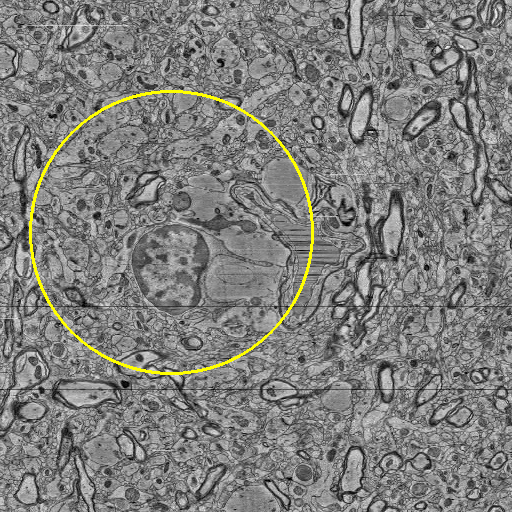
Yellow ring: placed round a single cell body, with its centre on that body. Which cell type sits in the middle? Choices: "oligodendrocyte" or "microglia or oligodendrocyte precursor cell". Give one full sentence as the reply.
It is a microglial cell or oligodendrocyte precursor cell whose cell body sits at the centre of the yellow ring.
